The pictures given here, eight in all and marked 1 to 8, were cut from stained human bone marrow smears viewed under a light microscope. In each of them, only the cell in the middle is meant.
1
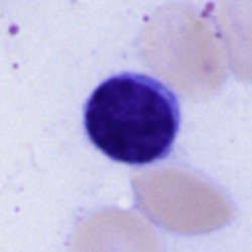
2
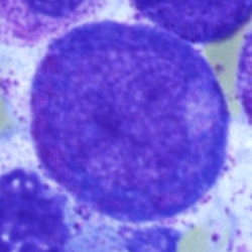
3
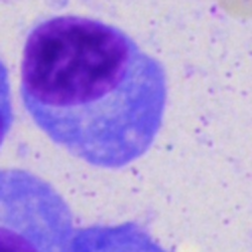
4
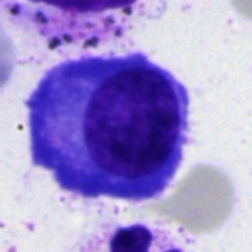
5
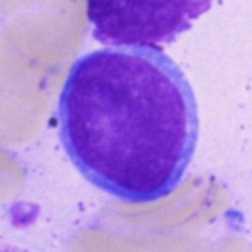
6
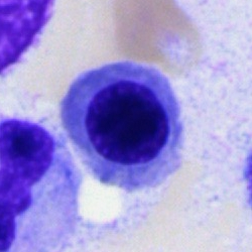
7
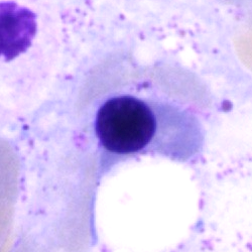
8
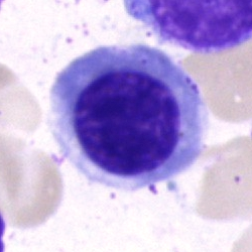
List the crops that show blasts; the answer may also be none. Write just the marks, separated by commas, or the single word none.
5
